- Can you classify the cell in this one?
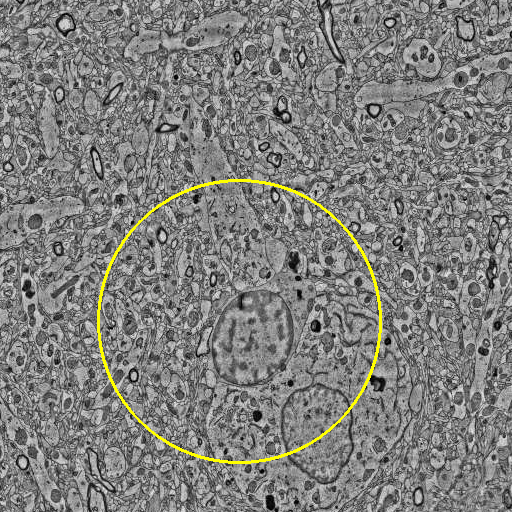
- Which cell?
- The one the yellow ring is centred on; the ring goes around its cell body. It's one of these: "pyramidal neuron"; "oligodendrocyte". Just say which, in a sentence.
The cell body in the ring belongs to an oligodendrocyte.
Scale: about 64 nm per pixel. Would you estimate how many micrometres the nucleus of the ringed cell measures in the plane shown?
The nucleus has a long axis of about 6 micrometres and a short axis of about 5 micrometres in this plane.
